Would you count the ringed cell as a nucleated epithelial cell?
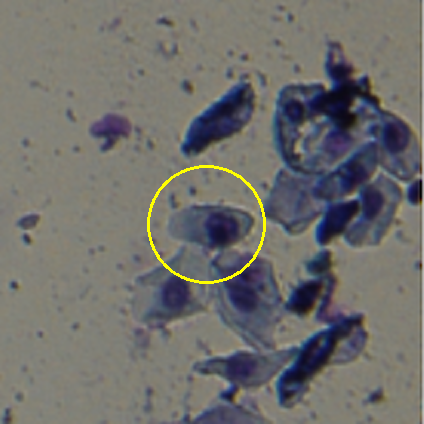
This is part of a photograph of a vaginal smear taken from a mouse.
Yes, I would count it as a nucleated epithelial cell.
